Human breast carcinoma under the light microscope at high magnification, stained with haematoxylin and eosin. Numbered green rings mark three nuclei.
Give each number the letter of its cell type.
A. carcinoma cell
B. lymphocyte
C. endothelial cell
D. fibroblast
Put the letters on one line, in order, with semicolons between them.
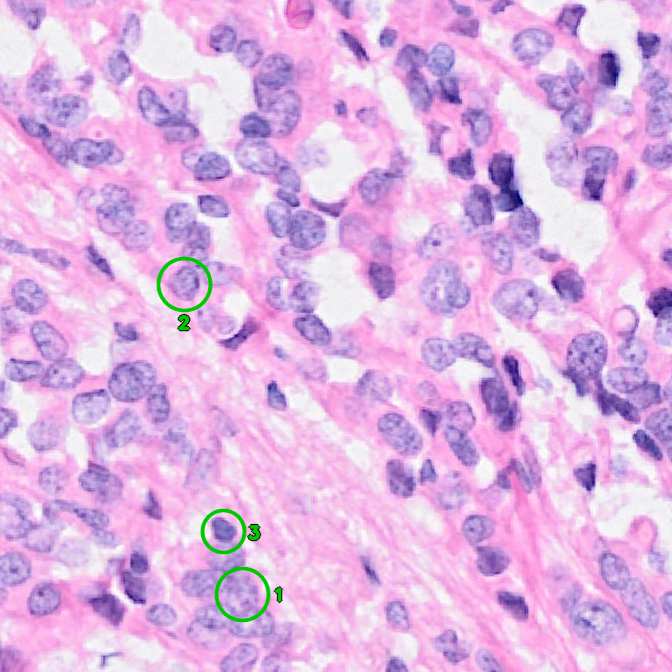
A; A; B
